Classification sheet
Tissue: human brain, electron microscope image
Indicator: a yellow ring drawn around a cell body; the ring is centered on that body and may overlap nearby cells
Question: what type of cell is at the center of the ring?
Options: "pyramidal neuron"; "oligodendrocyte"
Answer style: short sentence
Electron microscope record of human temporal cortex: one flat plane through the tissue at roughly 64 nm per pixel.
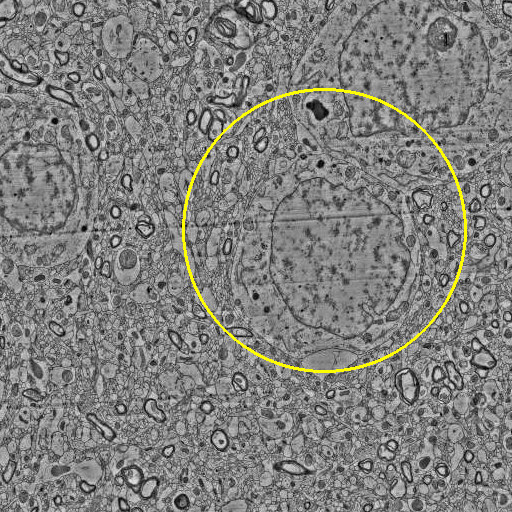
At the ring's center is a pyramidal neuron.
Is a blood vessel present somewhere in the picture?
No, there is none.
